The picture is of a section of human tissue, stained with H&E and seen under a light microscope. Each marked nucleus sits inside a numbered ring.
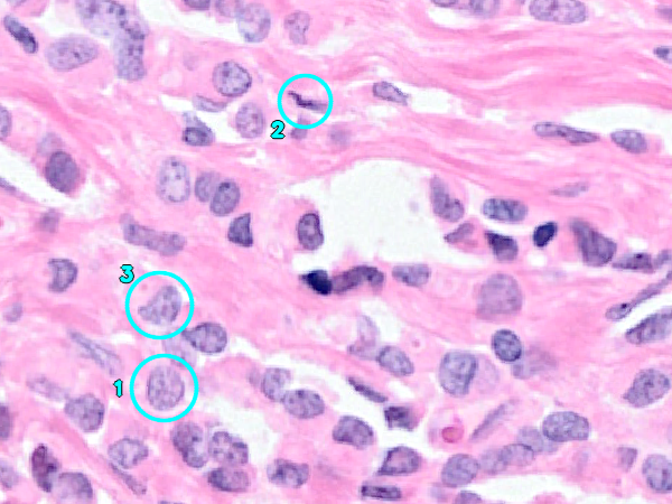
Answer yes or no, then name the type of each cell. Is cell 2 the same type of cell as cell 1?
No; cell 2 is a fibroblast, whereas cell 1 is a carcinoma cell.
